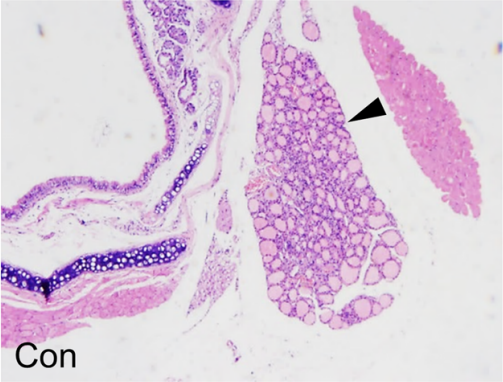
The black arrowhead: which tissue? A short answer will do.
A: Thyroid gland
